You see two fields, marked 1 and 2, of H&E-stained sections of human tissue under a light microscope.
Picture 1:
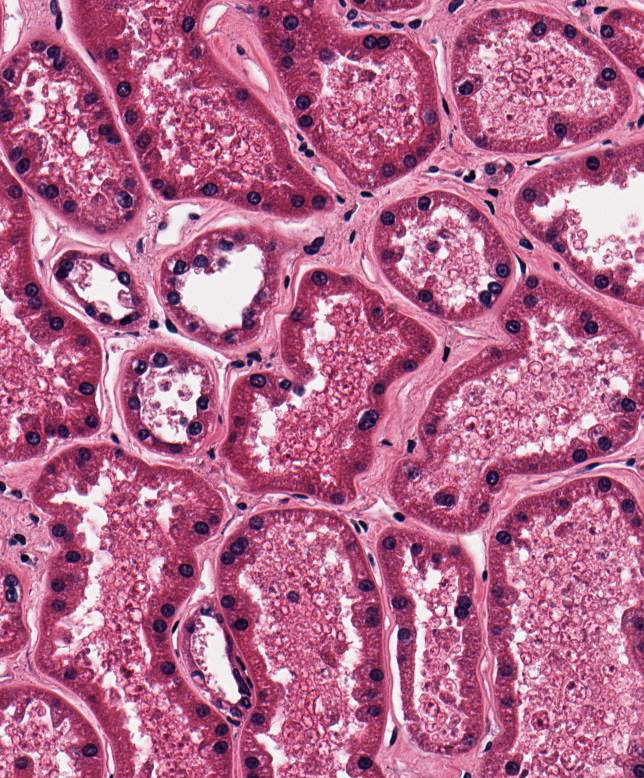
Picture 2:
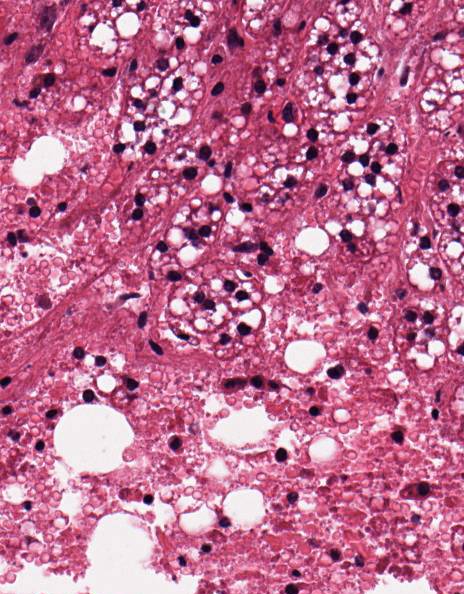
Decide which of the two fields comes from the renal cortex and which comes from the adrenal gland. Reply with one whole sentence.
Picture 2 comes from the adrenal gland, while picture 1 comes from the renal cortex.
